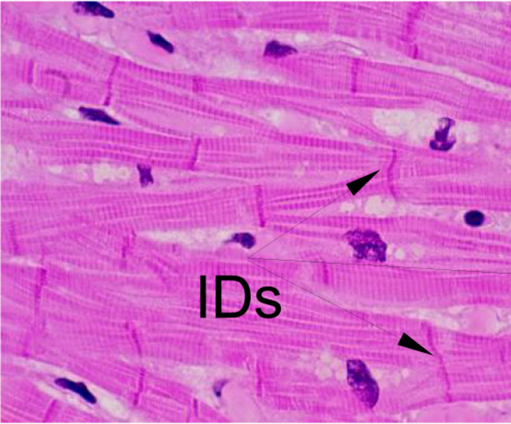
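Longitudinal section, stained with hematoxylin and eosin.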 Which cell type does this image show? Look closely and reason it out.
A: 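Long pink fibres run side by side across the field. The fibres show fine cross-striations. Some fibres branch and join neighbours. Thin dark transverse lines cross the fibres.
Conclusion: cardiac muscle cells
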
